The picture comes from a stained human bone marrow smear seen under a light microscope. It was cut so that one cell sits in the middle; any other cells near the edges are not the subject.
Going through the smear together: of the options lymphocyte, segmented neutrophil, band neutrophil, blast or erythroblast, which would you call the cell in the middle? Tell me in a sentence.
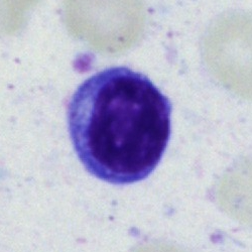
The central cell, amid any neighbouring cells, is a lymphocyte.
